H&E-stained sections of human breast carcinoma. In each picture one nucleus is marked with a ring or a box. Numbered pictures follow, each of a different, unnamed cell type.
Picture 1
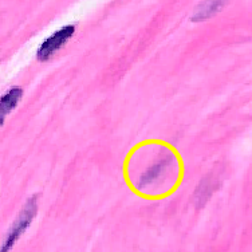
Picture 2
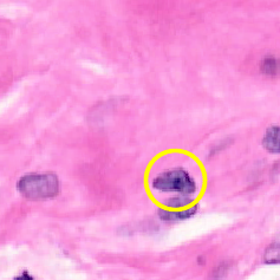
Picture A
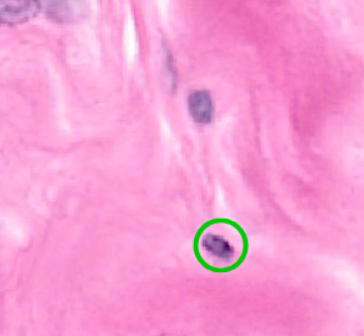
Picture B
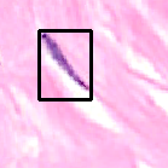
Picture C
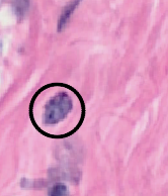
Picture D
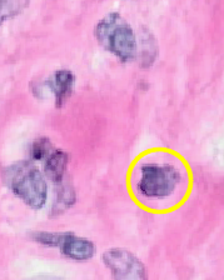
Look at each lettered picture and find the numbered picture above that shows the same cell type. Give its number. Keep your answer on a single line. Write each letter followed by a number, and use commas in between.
A 2, B 1, C 2, D 2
